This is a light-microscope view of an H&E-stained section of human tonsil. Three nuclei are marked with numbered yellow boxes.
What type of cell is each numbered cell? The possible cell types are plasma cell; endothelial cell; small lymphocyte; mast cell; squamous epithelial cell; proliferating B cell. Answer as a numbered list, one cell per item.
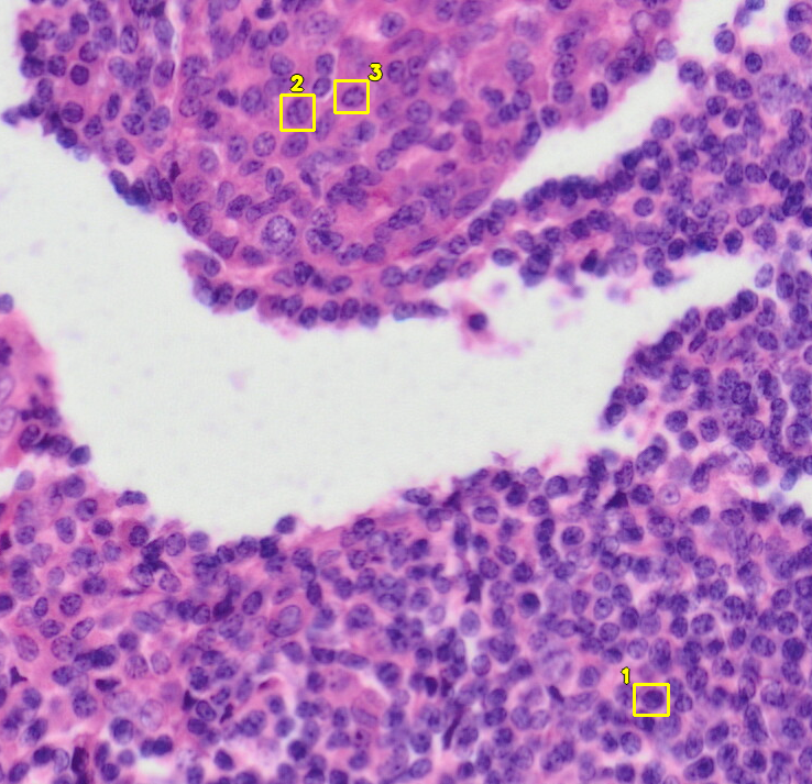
1. small lymphocyte
2. plasma cell
3. plasma cell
